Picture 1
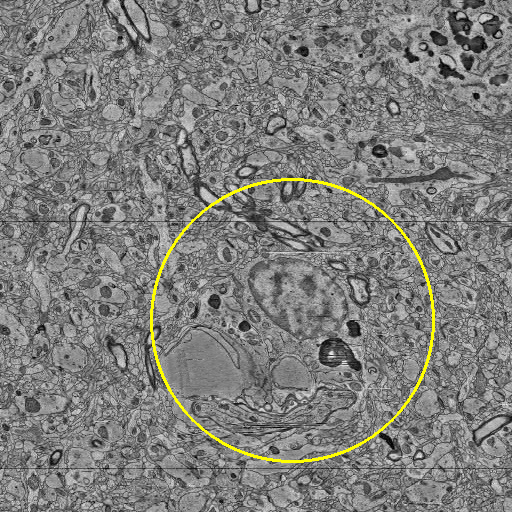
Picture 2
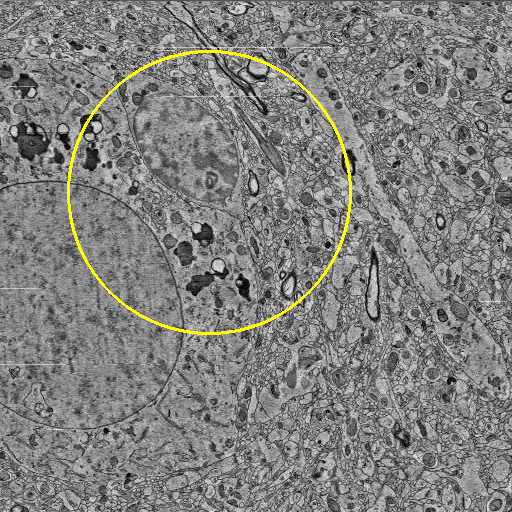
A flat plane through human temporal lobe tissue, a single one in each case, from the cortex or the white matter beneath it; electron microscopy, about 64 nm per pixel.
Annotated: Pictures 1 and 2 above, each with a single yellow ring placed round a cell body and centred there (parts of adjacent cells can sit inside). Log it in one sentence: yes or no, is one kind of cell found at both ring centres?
Yes, the ring centres of the two pictures hold cells of one kind.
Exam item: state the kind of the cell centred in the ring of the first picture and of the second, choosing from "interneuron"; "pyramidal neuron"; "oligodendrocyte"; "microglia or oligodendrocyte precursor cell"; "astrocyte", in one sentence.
The second cell is an oligodendrocyte, just as the first is.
